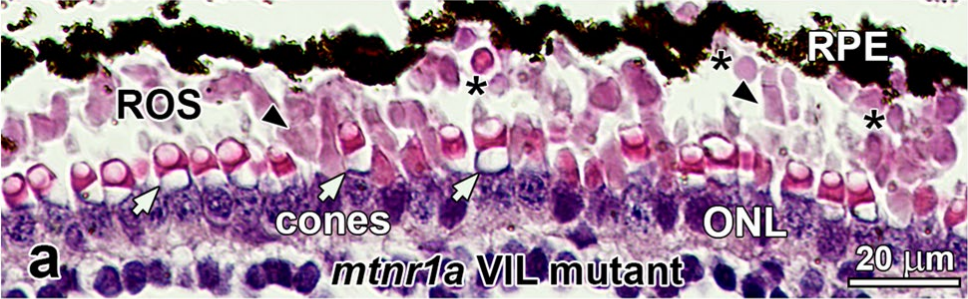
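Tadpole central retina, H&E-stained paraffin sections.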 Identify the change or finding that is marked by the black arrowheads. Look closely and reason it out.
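The outer segments near the arrowheads are short, swollen and irregular rather than long rods. Outer segment material lies in loose, fragmented pieces between the photoreceptors and the pigment layer.
Dystrophy.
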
